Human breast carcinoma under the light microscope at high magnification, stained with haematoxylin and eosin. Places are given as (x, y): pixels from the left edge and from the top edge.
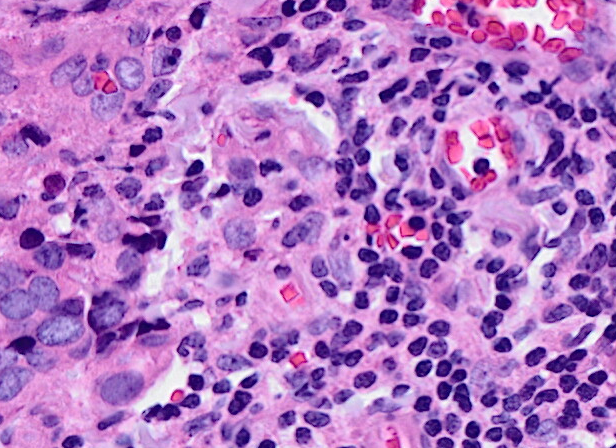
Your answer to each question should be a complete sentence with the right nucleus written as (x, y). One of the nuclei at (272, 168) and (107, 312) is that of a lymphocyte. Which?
The nucleus at (272, 168) is part of a lymphocyte, while the other is not.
